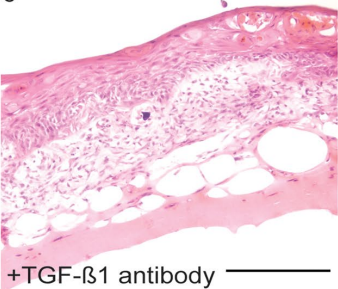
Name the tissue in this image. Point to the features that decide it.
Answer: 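A multilayered cellular sheet lies along the top of the section. The uppermost layers are flattened and more eosinophilic. Beneath lies looser pink tissue with scattered nuclei and round clear spaces. That points to this answer: Stratified epidermis.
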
